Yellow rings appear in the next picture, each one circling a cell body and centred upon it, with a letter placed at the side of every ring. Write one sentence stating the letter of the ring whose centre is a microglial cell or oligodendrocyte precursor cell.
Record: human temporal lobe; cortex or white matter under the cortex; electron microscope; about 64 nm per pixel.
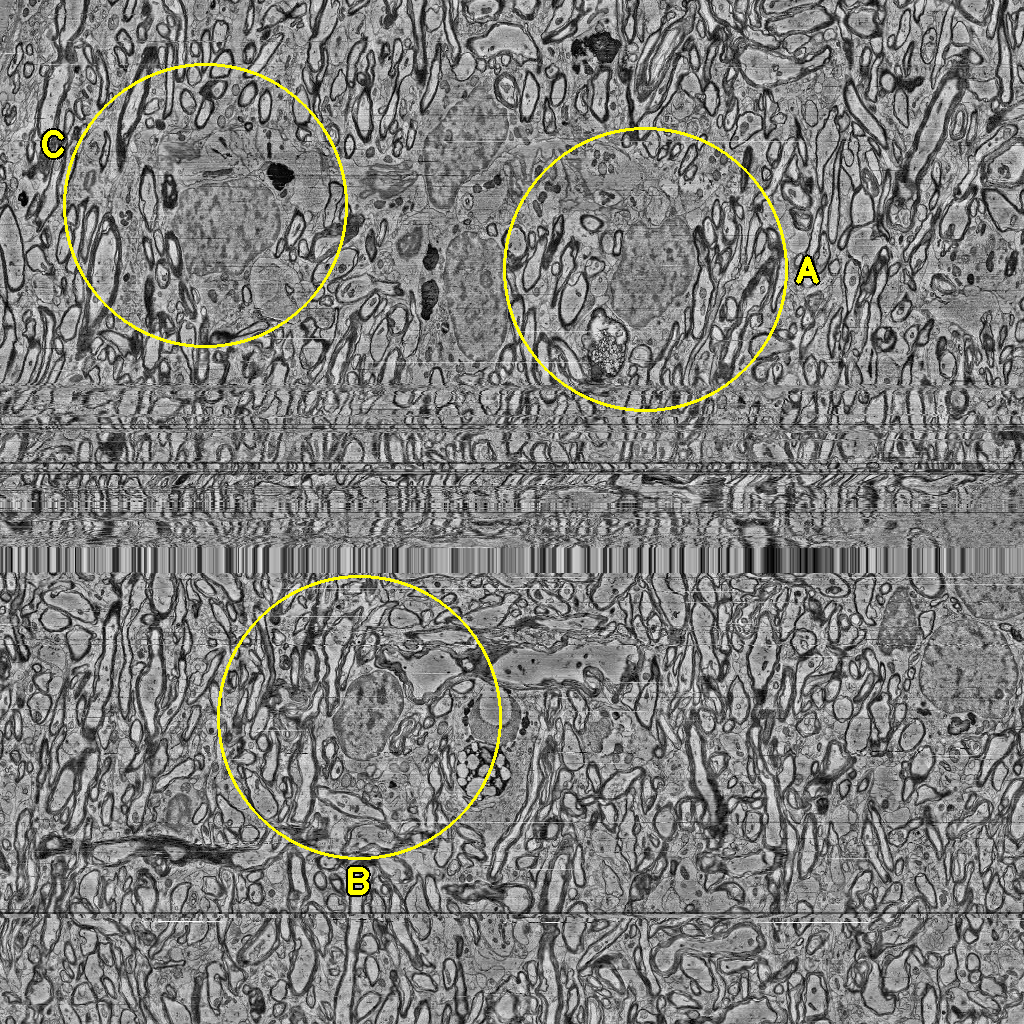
In the picture, the cell asked for lies at the centre of ring B.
